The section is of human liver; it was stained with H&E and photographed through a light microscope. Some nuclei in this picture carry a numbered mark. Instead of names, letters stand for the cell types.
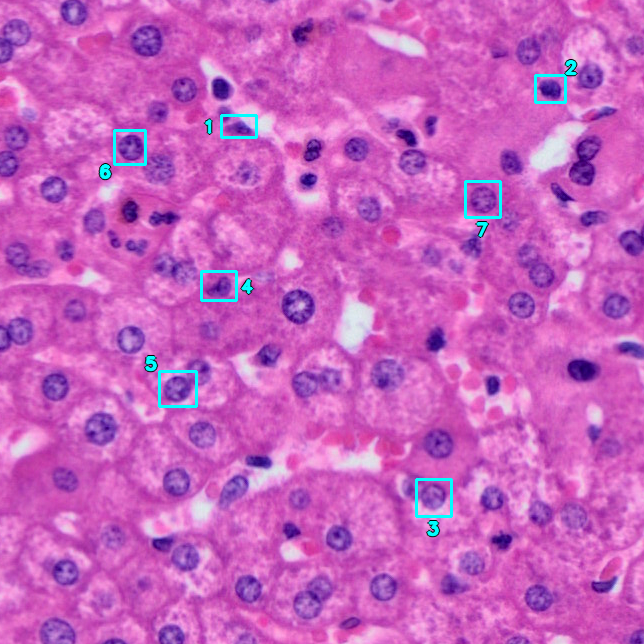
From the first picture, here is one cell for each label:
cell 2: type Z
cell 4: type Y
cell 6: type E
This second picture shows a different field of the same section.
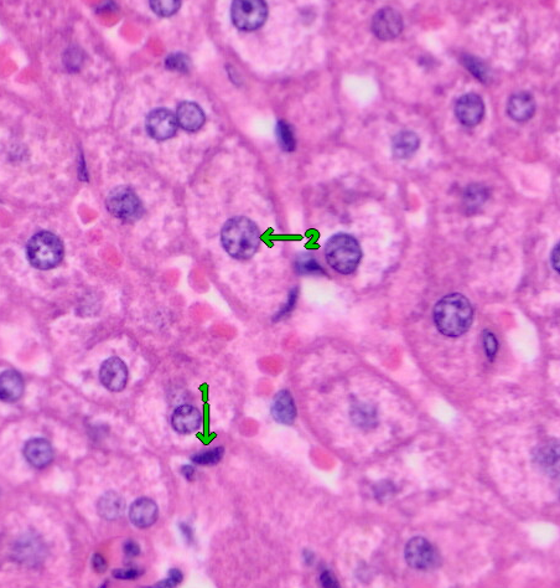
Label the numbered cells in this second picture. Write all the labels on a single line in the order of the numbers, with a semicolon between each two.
type Z; type E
